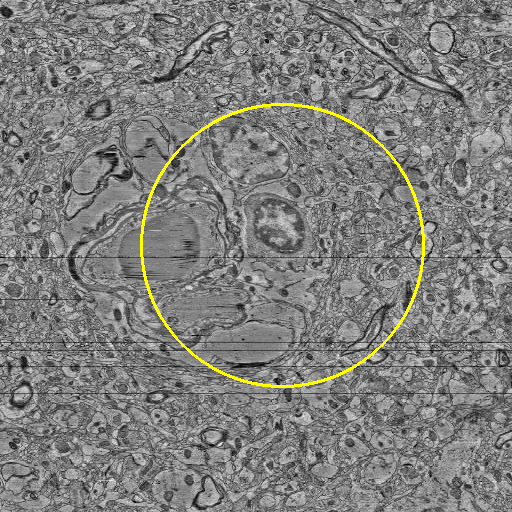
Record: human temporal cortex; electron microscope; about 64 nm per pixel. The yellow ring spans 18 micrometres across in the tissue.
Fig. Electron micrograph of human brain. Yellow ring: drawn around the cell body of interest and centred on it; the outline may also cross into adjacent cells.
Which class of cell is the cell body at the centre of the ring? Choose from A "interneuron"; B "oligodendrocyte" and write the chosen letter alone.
B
